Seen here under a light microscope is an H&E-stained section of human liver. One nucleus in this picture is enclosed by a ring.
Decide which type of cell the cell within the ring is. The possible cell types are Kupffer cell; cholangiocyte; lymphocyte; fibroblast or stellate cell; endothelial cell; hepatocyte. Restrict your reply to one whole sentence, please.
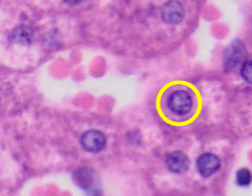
In cellular terms, the cell within the ring is a hepatocyte.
